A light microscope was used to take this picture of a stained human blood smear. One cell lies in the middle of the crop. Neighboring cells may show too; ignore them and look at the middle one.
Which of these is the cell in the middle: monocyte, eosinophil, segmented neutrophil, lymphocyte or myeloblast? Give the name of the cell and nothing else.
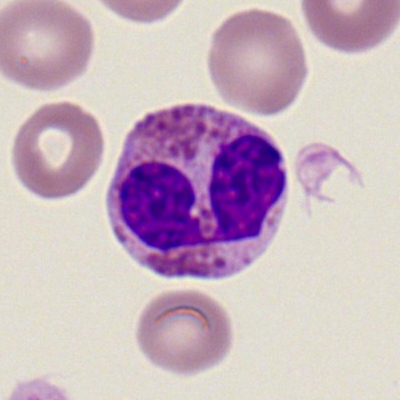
eosinophil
